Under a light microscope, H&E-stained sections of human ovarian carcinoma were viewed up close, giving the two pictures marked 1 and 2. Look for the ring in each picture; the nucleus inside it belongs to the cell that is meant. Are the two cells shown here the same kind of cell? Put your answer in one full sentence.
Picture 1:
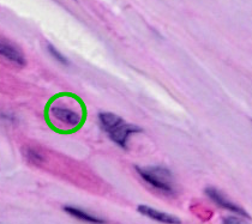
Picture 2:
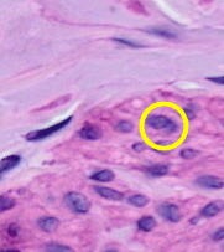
Yes; the cells in both pictures are smooth muscle cells.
